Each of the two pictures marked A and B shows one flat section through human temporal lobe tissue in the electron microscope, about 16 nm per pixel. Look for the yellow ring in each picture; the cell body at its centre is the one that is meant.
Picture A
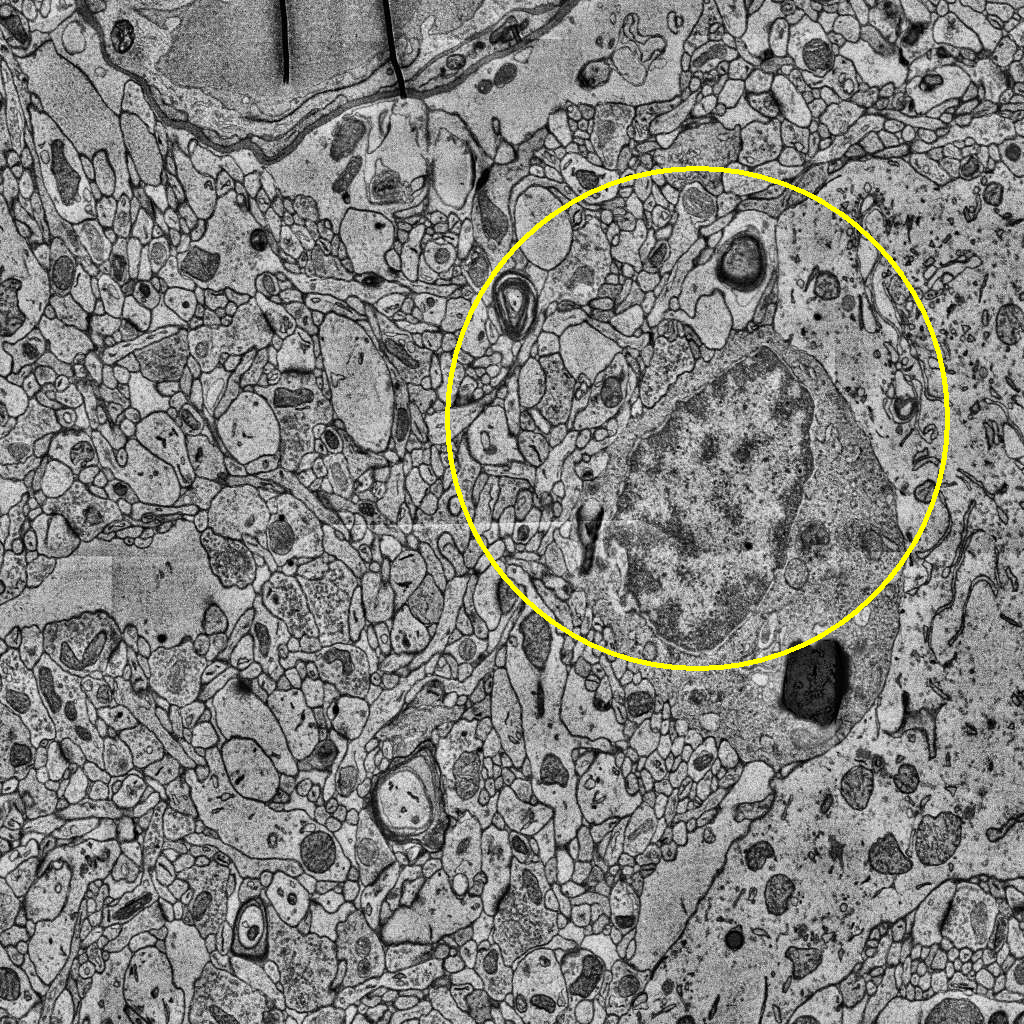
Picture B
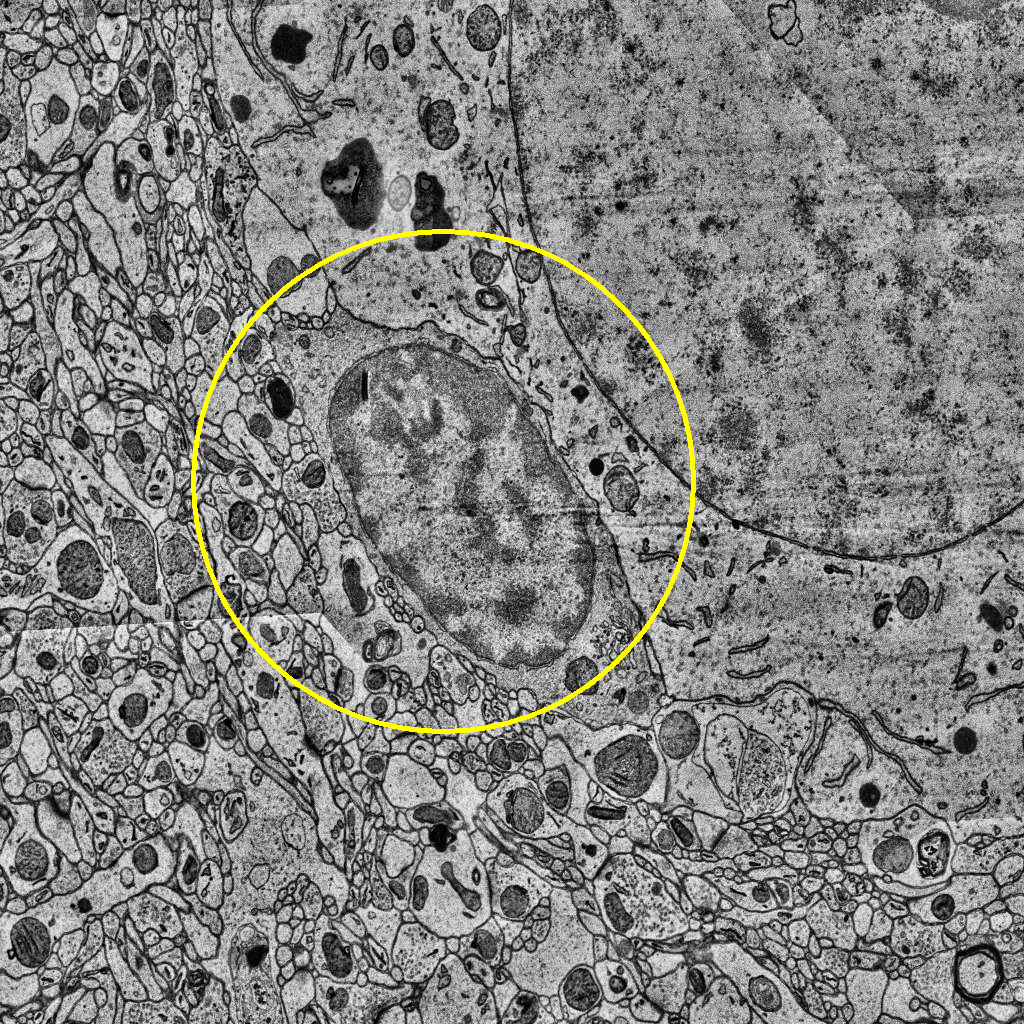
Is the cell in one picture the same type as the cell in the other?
Yes, both cells are oligodendrocytes.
